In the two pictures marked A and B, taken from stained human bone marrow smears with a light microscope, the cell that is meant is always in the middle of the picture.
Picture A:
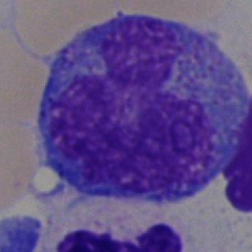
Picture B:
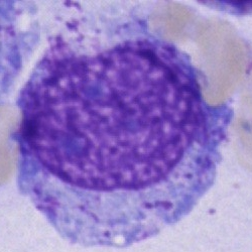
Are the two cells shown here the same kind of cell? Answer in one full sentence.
No, picture A shows a monocyte and picture B shows a promyelocyte.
